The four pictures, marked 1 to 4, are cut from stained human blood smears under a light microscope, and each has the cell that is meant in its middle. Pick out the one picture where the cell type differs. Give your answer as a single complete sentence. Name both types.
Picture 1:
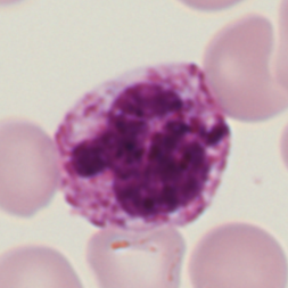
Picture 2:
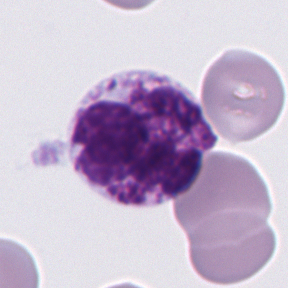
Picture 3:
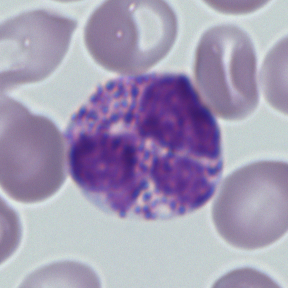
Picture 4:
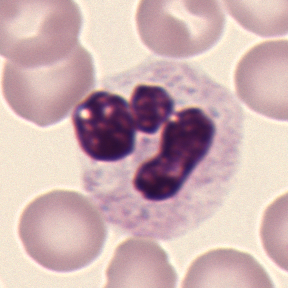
All pictures except 4 show basophils; picture 4 shows a segmented neutrophil.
